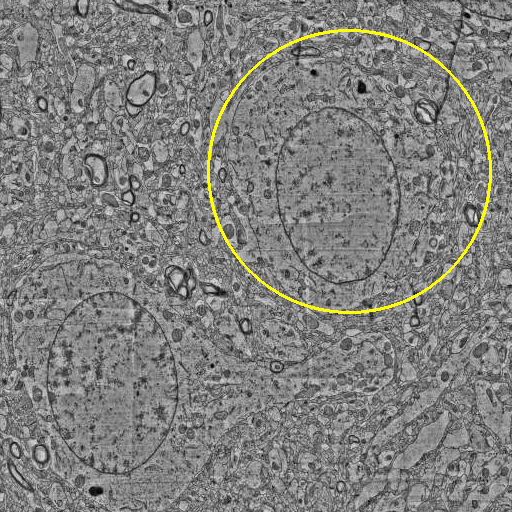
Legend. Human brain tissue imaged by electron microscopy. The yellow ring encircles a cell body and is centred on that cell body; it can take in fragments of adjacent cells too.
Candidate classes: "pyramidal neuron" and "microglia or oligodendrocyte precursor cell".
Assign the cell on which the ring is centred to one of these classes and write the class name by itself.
pyramidal neuron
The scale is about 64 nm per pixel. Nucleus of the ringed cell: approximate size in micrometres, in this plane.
Approximately 11 micrometres long and 8 micrometres wide, in this plane.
